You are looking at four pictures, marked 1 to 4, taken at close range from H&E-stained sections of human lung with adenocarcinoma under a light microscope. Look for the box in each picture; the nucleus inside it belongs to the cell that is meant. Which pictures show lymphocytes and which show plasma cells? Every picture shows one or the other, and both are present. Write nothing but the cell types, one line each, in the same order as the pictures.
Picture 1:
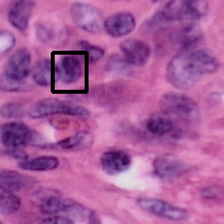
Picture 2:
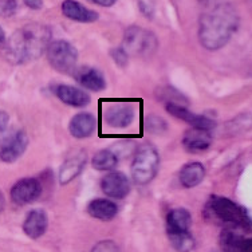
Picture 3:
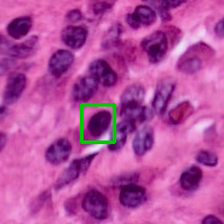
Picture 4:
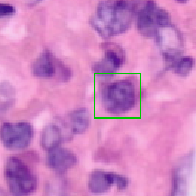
lymphocyte
lymphocyte
plasma cell
plasma cell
